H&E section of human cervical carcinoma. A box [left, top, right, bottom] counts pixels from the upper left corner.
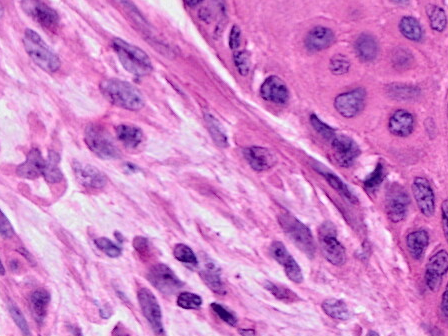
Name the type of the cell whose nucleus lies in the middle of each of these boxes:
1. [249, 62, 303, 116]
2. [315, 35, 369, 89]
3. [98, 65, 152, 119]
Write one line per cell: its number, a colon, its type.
1: squamous carcinoma cell
2: squamous carcinoma cell
3: fibroblast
